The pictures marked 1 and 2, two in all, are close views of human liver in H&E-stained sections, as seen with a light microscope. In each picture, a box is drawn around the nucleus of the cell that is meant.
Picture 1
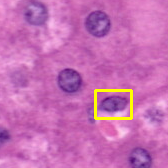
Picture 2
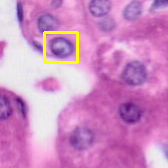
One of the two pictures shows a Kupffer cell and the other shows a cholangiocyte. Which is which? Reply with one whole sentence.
Picture 1 shows a Kupffer cell and picture 2 shows a cholangiocyte.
